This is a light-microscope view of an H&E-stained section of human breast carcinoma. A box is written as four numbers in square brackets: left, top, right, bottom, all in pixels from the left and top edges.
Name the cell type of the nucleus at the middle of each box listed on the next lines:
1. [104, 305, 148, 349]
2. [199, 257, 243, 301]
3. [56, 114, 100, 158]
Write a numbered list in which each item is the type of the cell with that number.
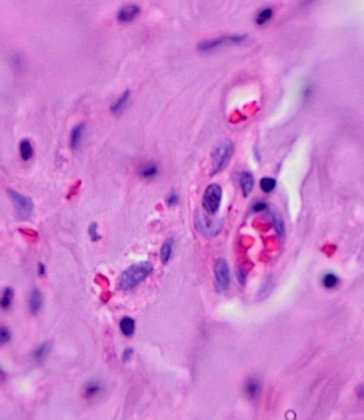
1. lymphocyte
2. endothelial cell
3. fibroblast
